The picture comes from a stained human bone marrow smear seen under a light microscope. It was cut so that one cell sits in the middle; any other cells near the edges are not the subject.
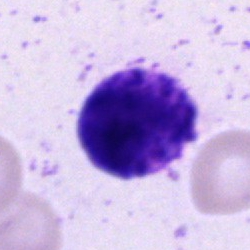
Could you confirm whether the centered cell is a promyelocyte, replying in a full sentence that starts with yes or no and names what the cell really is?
No, the middle of this crop is occupied by a basophil rather than a promyelocyte.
